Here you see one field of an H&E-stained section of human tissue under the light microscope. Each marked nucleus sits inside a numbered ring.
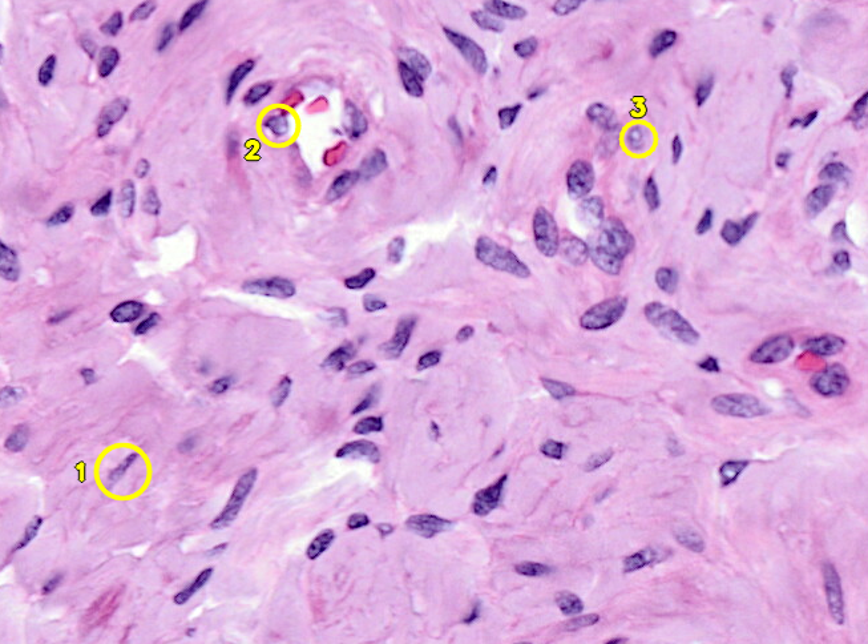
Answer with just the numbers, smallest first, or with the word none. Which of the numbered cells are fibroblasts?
1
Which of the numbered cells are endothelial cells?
2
